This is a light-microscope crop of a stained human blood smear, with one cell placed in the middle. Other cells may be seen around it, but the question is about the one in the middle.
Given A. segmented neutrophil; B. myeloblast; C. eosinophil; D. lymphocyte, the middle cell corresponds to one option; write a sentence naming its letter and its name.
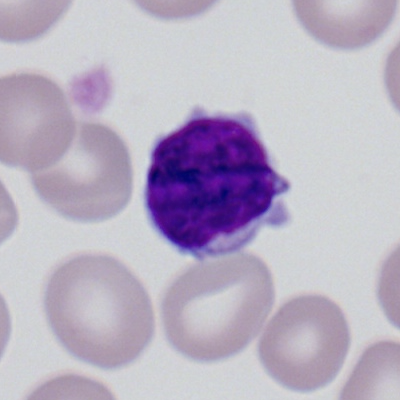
The correct identification, given in option D, is that the central cell is a lymphocyte.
